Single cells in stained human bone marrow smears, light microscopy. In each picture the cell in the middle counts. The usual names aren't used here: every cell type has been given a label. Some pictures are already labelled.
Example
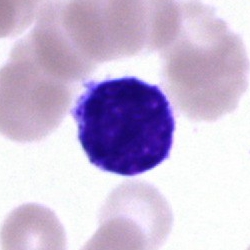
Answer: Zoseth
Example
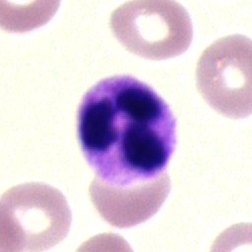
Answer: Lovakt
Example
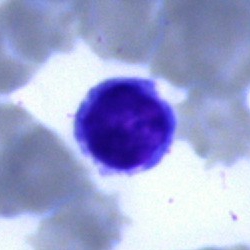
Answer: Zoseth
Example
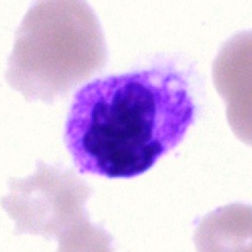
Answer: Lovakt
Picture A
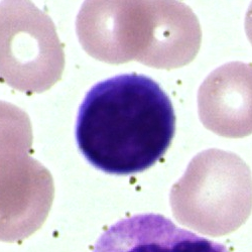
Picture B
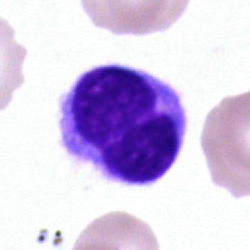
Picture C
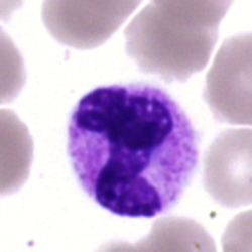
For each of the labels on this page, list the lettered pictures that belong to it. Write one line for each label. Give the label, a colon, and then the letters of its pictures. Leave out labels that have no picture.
Zoseth: A, B
Lovakt: C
